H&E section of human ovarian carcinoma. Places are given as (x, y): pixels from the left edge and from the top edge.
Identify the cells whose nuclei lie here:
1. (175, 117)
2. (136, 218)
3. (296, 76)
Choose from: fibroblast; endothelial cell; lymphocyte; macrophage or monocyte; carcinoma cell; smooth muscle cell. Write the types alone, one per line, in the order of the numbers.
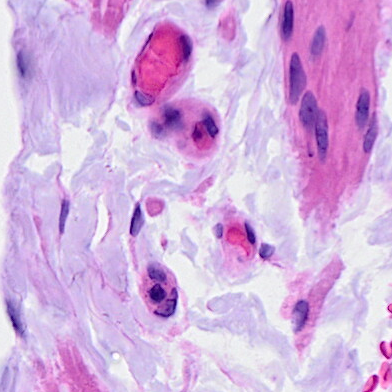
endothelial cell
fibroblast
smooth muscle cell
